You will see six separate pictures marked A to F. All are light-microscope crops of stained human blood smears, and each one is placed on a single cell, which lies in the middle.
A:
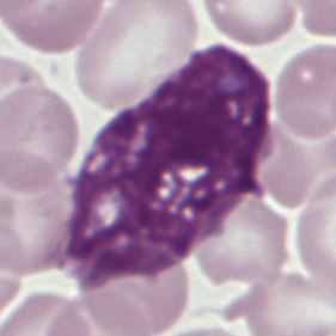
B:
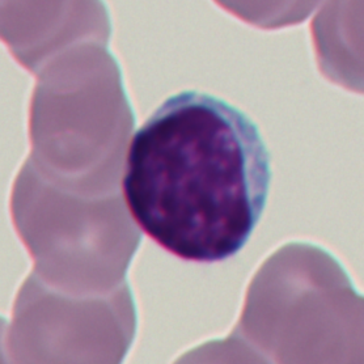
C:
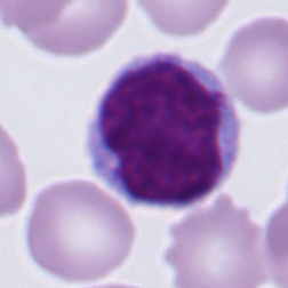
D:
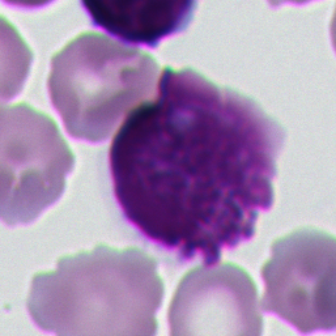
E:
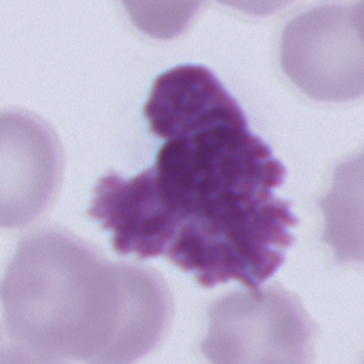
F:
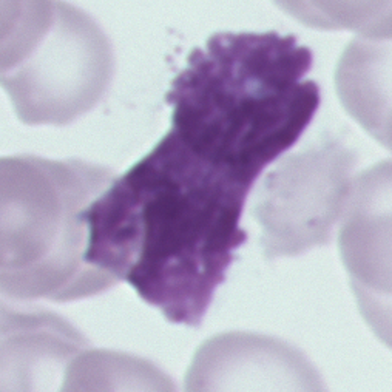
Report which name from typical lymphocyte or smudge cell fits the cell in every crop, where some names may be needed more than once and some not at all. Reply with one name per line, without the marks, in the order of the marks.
smudge cell
typical lymphocyte
typical lymphocyte
smudge cell
smudge cell
smudge cell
